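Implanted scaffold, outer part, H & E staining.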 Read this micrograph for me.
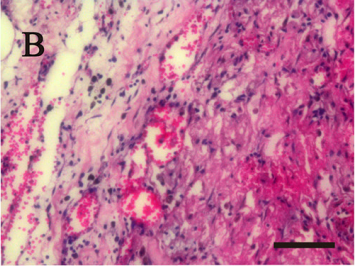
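The red blood cells are tiny, bright red discs without nuclei, crowded inside round and elongated lumens lined by thin, flattened cells with dark nuclei. Around the vessels lie spindle-shaped cells with dark, elongated nuclei among wavy pink fibres.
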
